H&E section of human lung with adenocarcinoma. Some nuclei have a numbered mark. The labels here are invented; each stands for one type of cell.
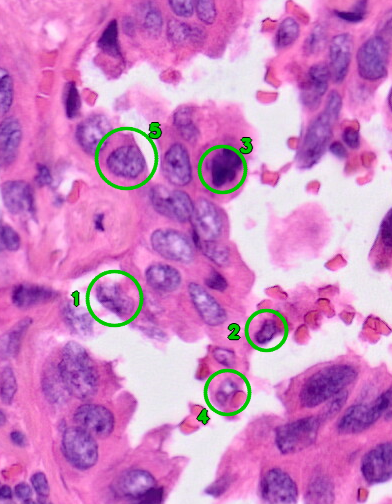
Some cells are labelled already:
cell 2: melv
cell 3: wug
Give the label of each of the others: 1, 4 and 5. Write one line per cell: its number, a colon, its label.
1: wug
4: melv
5: wug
